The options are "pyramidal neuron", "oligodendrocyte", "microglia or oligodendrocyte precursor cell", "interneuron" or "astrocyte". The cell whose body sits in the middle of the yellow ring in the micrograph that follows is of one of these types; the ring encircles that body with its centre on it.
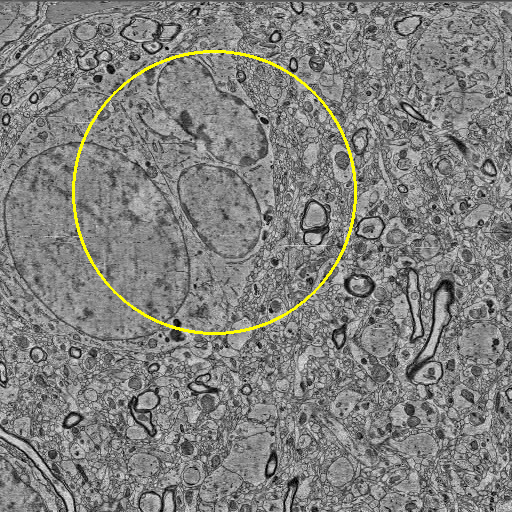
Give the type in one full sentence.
Going by the micrograph, the cell centred in the yellow ring is a microglial cell or oligodendrocyte precursor cell.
